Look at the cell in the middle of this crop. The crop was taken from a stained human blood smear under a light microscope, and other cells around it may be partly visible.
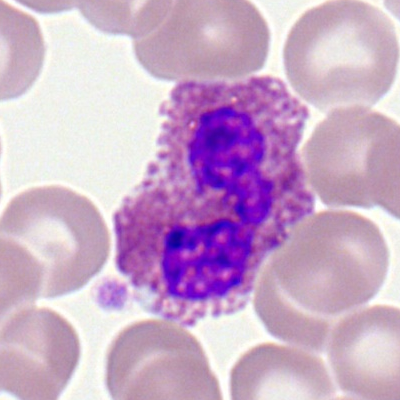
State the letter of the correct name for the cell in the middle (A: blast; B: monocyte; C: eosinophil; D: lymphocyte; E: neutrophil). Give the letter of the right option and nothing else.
C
